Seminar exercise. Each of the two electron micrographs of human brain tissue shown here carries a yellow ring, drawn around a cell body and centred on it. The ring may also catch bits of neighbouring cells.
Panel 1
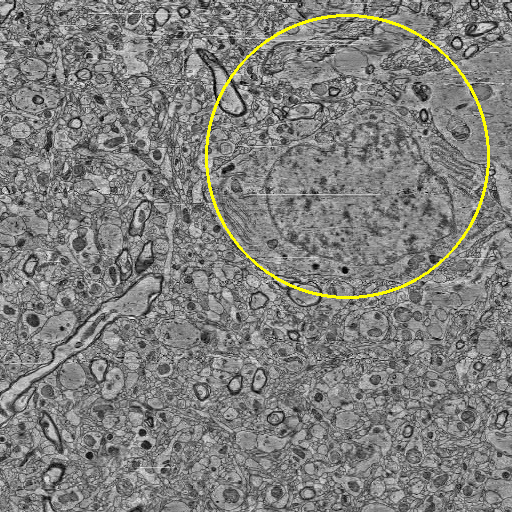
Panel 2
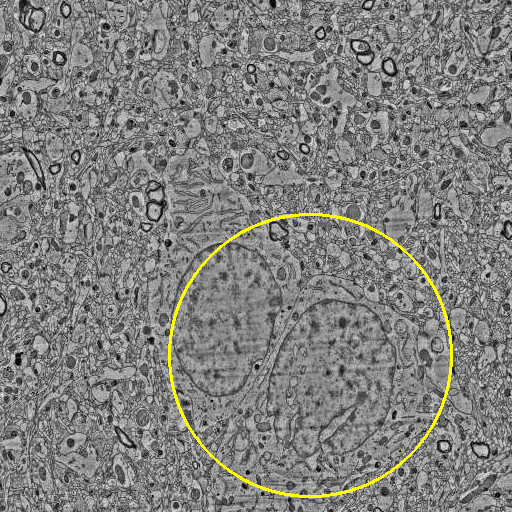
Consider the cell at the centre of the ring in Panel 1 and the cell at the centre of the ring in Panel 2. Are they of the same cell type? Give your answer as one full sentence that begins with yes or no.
Yes, both cells are of the same type.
